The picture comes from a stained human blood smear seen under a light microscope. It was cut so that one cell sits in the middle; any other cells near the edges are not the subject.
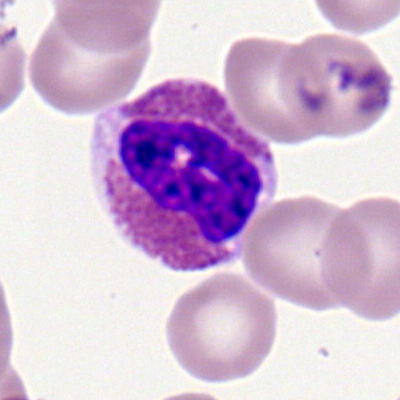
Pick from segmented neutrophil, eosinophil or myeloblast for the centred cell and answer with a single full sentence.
The cell at the central position in this crop is an eosinophil.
